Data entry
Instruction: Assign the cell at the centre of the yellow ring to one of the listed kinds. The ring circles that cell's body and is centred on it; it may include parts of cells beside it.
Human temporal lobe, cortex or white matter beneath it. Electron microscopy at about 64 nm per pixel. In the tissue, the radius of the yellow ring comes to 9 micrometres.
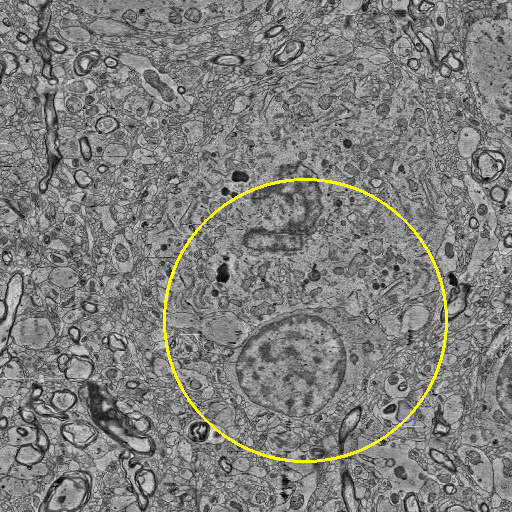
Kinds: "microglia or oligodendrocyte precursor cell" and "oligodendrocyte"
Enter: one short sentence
The centre of the ring falls on an oligodendrocyte.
